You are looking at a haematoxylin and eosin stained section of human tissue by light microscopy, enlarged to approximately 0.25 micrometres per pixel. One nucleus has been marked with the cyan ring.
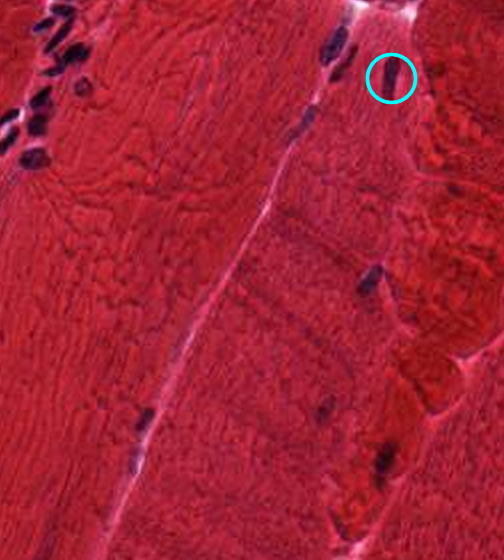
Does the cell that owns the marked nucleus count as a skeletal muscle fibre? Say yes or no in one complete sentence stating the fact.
Yes, the marked nucleus sits in a skeletal muscle fibre.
